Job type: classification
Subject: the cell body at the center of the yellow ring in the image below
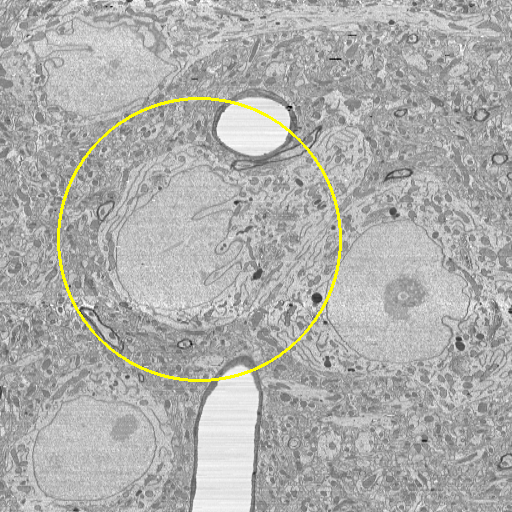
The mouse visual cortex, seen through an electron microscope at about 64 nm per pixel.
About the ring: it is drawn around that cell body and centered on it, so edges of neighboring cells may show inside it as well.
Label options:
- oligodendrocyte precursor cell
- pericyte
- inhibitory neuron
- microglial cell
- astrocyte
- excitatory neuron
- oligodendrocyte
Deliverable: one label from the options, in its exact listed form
inhibitory neuron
